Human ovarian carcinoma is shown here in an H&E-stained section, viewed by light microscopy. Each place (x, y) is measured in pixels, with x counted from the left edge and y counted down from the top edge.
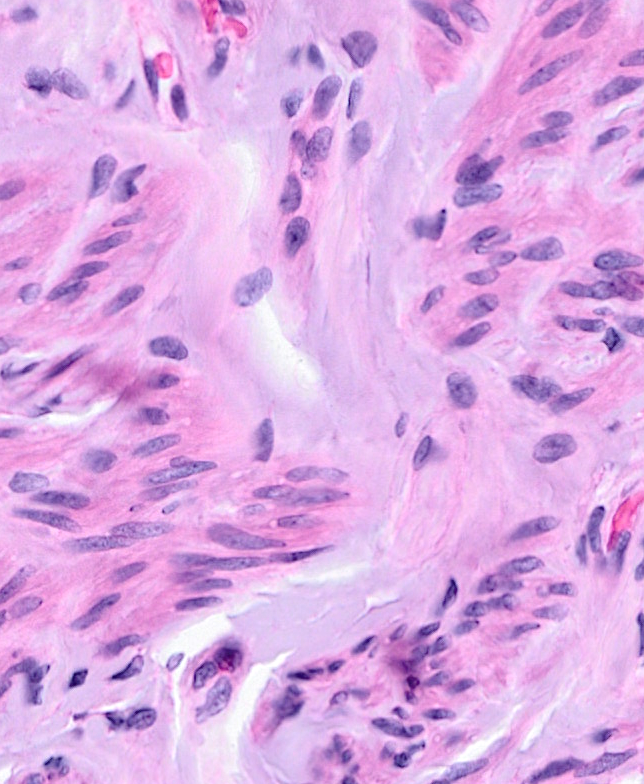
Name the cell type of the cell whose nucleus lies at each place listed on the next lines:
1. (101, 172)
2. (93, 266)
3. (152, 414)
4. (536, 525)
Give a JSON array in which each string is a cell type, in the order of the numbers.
["fibroblast", "smooth muscle cell", "smooth muscle cell", "smooth muscle cell"]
